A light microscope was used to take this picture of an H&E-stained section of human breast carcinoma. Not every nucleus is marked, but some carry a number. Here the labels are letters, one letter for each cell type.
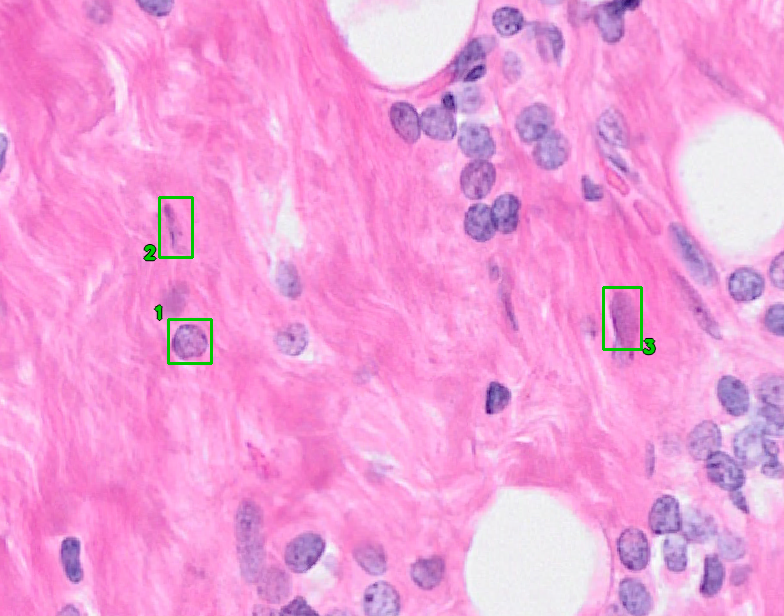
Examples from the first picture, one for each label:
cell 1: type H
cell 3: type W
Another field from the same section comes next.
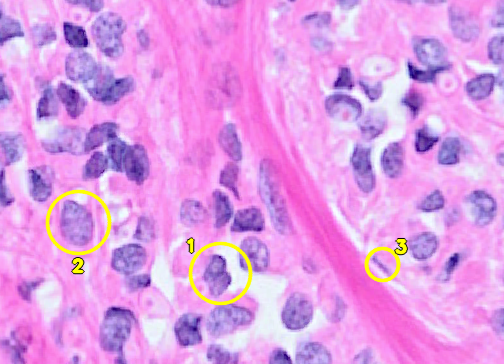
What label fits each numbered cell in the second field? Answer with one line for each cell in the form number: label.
1: type H
2: type H
3: type W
